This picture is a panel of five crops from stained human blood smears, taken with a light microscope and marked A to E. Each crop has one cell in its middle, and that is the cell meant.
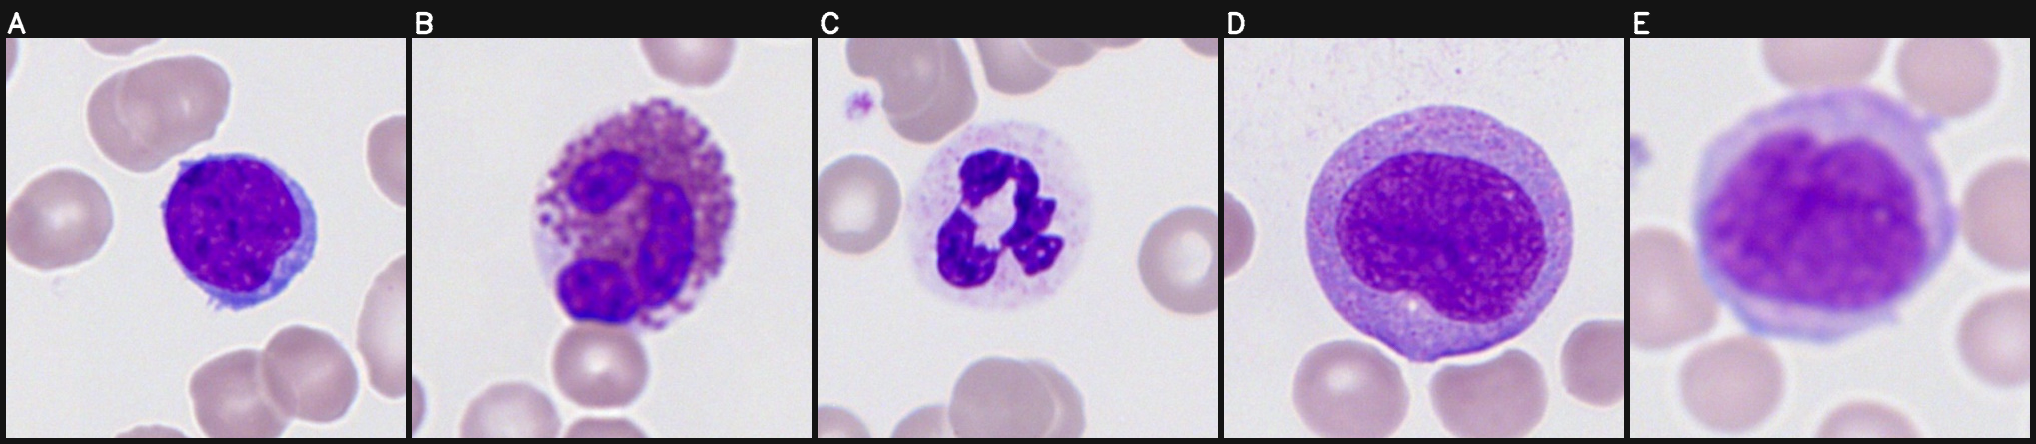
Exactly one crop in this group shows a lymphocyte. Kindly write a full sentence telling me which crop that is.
So the crop with a lymphocyte at its center is crop A.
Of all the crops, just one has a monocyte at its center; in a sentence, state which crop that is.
Crop E represents a monocyte, while the other crops do not.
